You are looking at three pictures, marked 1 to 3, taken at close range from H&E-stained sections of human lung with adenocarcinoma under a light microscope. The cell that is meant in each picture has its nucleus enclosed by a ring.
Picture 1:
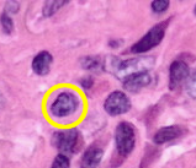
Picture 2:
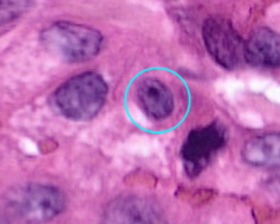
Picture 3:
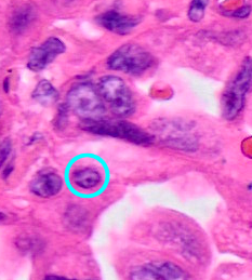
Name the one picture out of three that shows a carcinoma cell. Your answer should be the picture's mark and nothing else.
2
